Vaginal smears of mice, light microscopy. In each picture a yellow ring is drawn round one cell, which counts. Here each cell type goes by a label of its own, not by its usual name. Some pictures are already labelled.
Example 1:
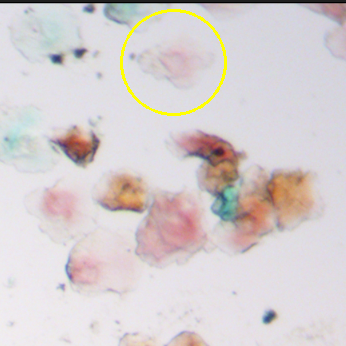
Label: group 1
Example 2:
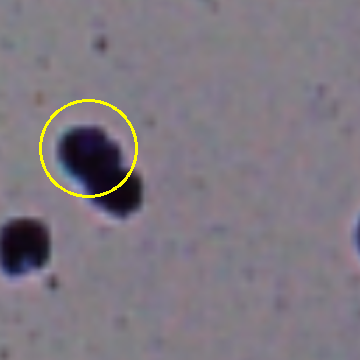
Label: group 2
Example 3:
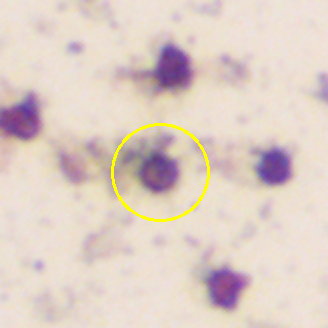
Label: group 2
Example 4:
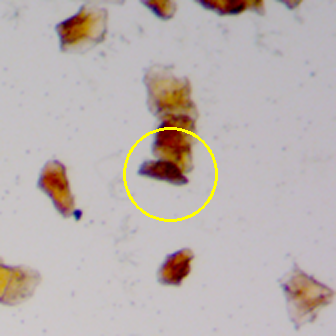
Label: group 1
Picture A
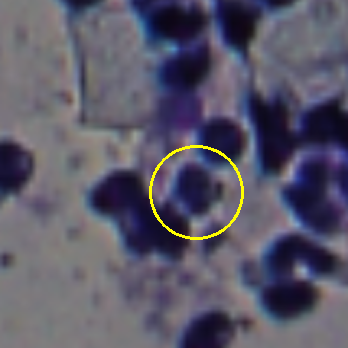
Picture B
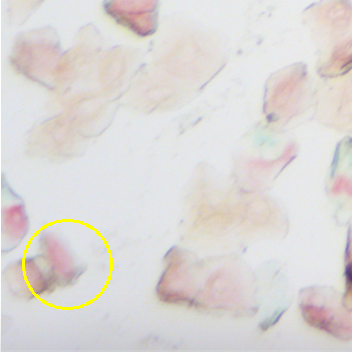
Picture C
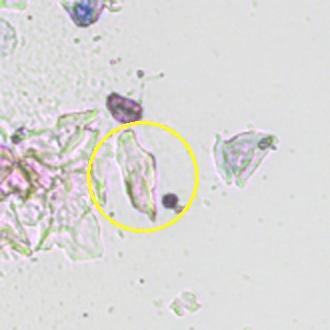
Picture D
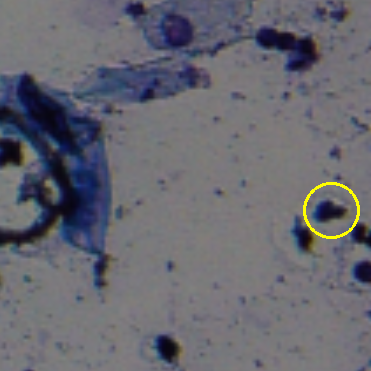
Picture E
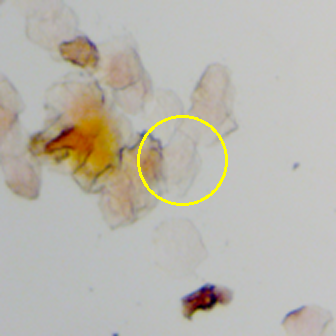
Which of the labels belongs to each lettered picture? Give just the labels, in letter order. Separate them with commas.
group 2, group 1, group 1, group 2, group 1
